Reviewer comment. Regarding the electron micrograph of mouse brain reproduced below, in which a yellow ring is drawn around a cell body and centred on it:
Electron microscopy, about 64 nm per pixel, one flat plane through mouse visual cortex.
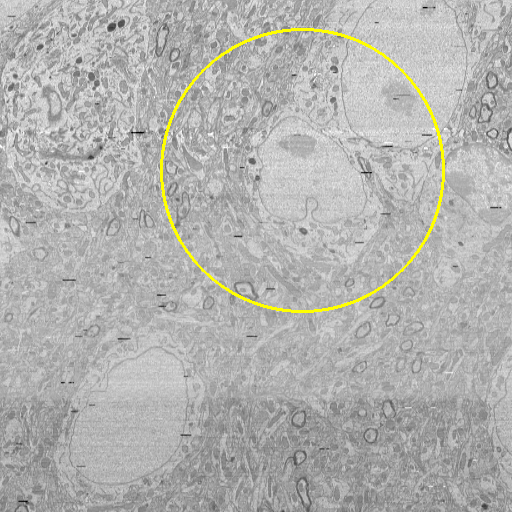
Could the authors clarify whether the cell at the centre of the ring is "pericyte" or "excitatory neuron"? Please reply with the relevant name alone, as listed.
excitatory neuron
